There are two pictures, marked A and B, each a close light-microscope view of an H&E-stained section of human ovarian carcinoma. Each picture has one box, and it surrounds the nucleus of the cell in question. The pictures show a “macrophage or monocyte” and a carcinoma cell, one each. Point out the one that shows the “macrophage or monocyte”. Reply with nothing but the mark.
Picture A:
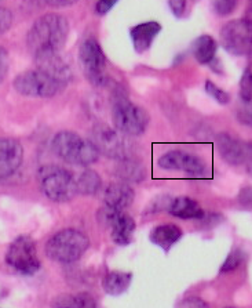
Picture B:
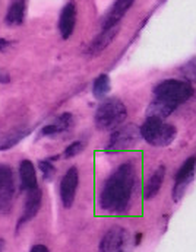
A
